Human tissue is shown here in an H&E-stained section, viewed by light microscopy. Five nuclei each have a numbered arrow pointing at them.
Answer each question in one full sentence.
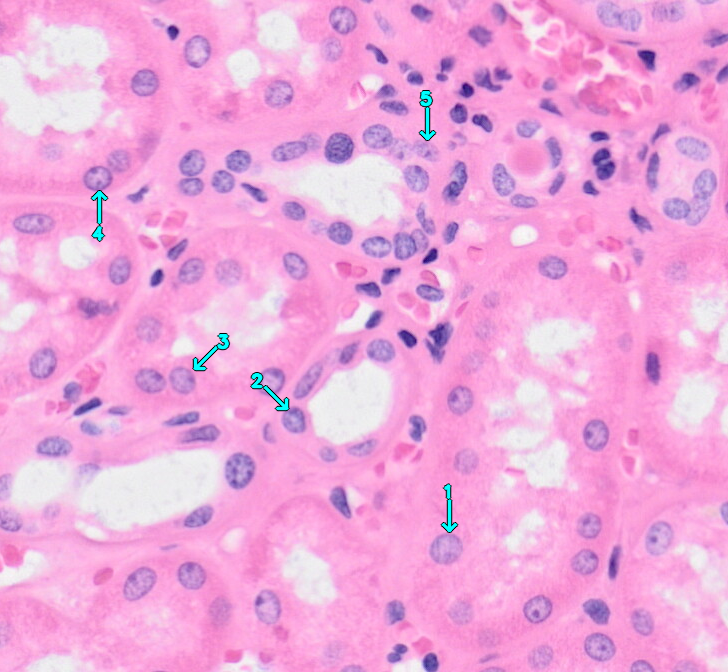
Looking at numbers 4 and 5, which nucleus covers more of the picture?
Nucleus 4 covers more area, about 1.5 times as much as nucleus 5.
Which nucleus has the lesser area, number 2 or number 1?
Nucleus 2 covers less area, with nucleus 1 about 1.5 times as large.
